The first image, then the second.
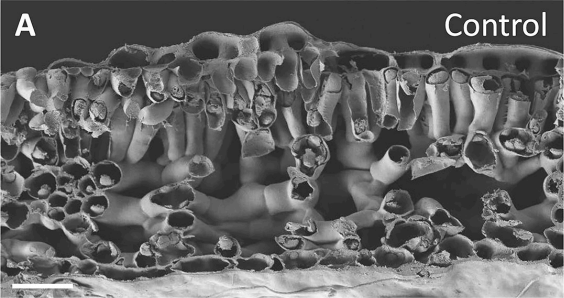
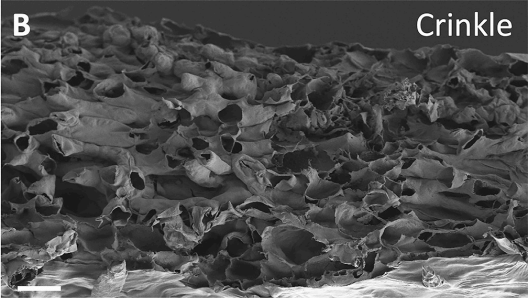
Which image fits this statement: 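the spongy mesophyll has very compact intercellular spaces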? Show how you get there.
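Second image: cells are crowded and flattened with only small, narrow gaps between them. First image: the lower tissue has large open air spaces between rounded cells.
Hence: the second image.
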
